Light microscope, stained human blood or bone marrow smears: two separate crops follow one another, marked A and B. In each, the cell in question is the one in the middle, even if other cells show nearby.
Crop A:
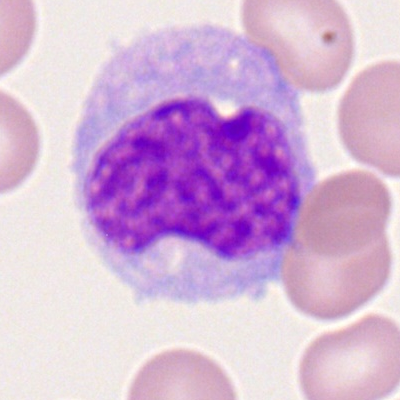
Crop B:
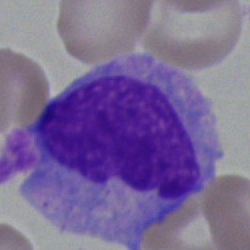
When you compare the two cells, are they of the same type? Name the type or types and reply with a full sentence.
Yes, as shown in both crops, the central cells are monocytes.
